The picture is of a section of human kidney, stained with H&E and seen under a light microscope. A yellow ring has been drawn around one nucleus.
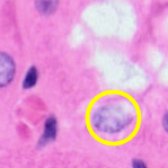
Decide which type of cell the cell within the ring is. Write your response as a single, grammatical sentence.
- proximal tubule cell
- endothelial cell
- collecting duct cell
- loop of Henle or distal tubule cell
The cell type represented by the cell within the ring is that of a proximal tubule cell.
